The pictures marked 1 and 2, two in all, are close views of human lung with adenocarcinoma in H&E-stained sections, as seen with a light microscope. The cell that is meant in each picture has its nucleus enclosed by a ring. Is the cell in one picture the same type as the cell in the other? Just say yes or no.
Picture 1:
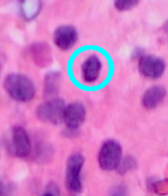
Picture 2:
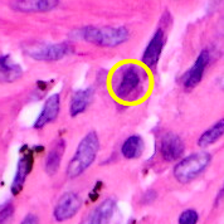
no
